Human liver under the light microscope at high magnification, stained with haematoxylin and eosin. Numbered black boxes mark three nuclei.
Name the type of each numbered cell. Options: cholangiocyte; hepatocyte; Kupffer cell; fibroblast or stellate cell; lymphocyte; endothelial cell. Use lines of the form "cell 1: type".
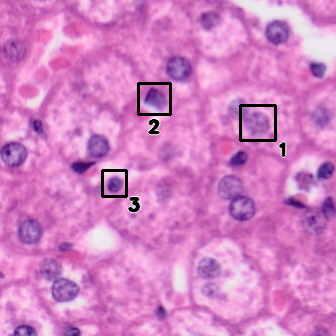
cell 1: hepatocyte
cell 2: endothelial cell
cell 3: lymphocyte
